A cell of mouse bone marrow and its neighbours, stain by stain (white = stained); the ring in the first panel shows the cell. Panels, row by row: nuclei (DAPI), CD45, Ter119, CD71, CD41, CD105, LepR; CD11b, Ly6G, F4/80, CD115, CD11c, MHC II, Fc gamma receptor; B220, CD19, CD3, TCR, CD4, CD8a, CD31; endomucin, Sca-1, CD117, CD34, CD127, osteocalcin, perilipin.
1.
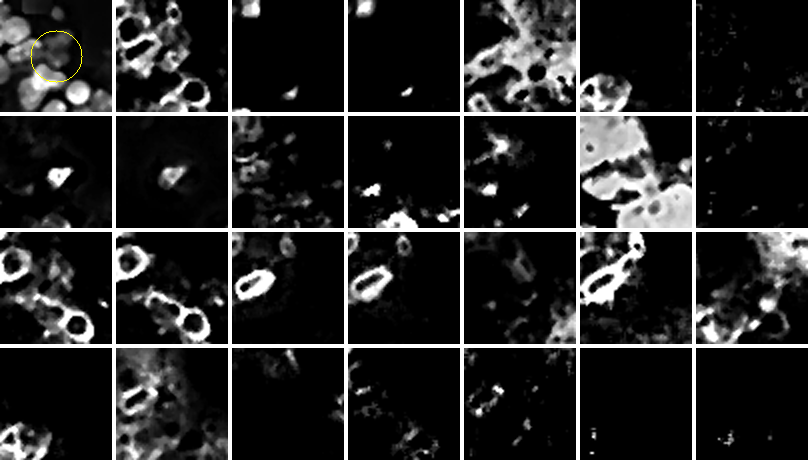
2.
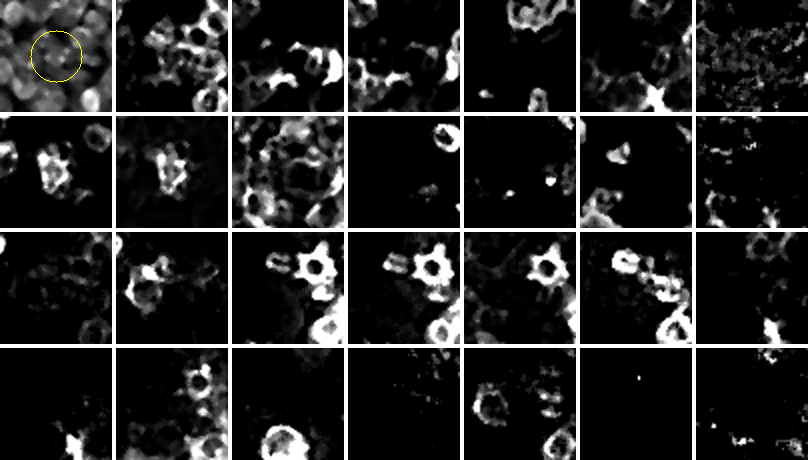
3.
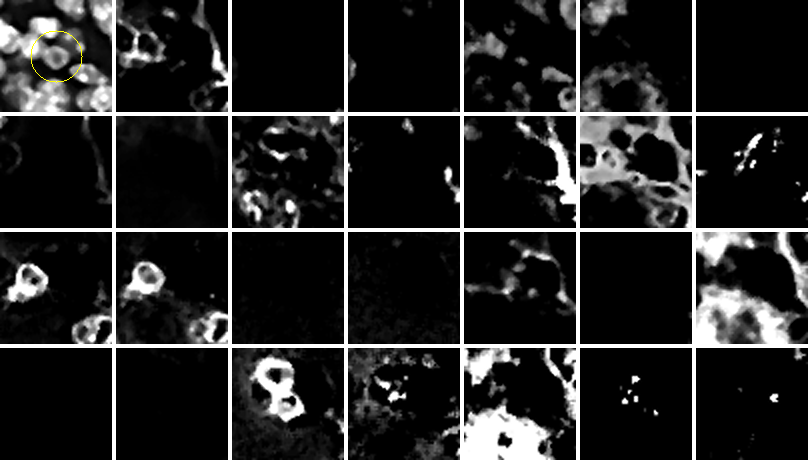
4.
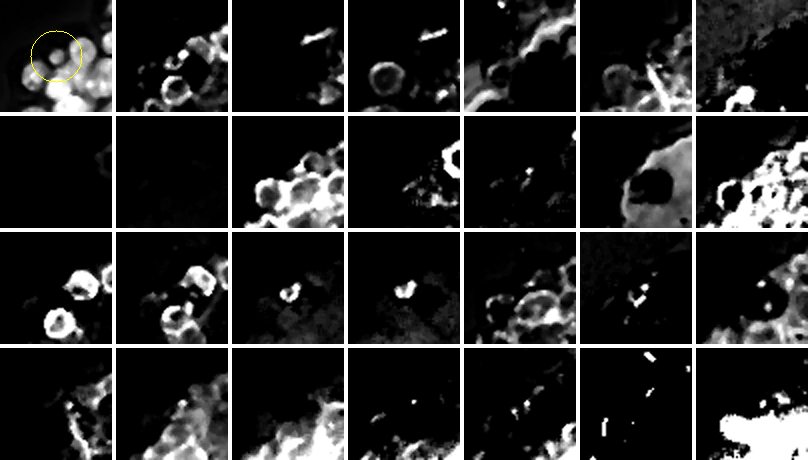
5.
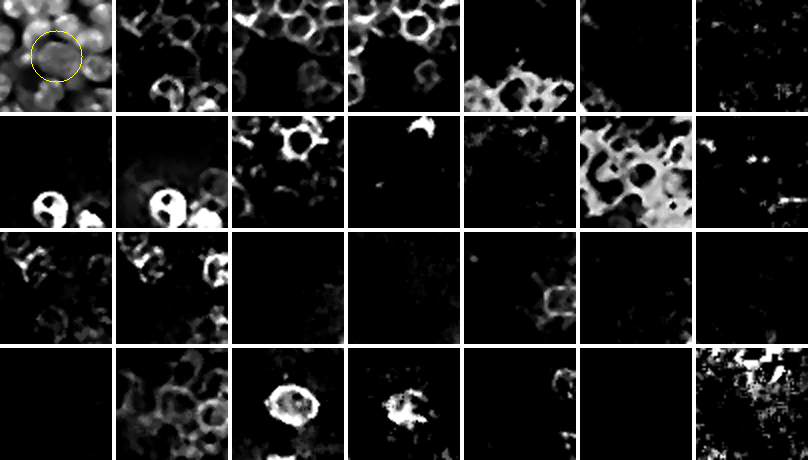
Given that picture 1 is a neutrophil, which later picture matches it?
2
